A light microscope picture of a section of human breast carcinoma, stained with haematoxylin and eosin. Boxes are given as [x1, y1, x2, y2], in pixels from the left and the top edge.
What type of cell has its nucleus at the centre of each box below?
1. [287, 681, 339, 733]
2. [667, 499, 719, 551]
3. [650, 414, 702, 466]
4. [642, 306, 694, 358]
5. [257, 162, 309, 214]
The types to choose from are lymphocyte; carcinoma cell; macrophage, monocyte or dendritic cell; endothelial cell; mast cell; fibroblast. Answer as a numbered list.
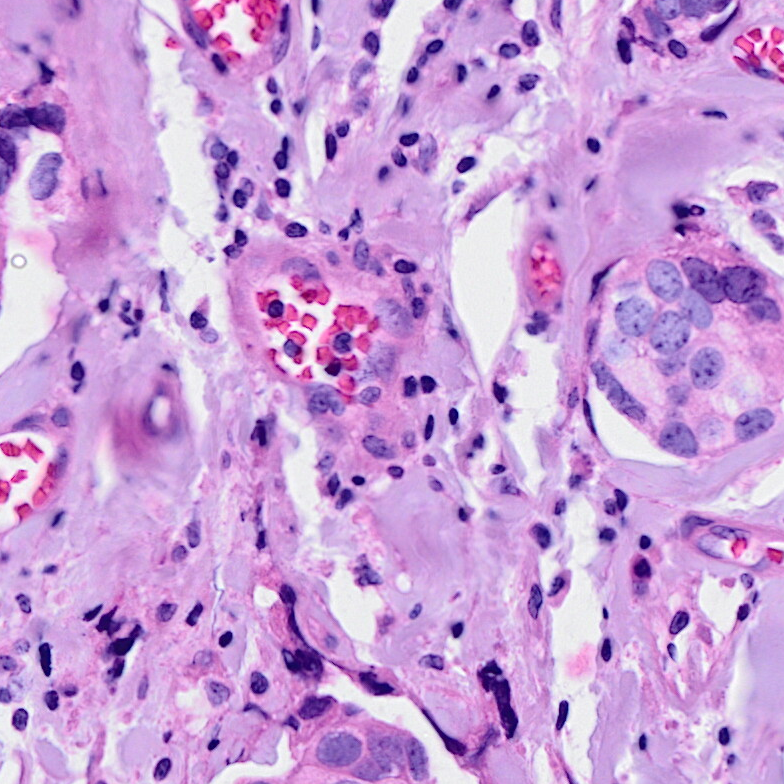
1. carcinoma cell
2. endothelial cell
3. carcinoma cell
4. carcinoma cell
5. lymphocyte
